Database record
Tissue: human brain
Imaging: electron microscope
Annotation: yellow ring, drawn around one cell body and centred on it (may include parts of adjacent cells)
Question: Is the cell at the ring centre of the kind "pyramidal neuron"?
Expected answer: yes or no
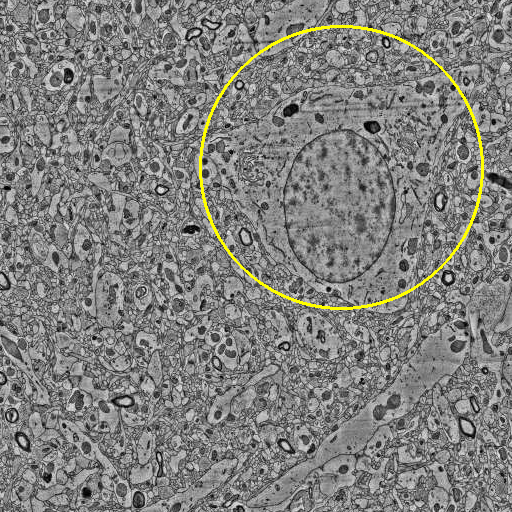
yes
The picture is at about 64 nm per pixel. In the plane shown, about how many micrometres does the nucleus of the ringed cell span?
In this plane the nucleus spans approximately 10 by 7 micrometers.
